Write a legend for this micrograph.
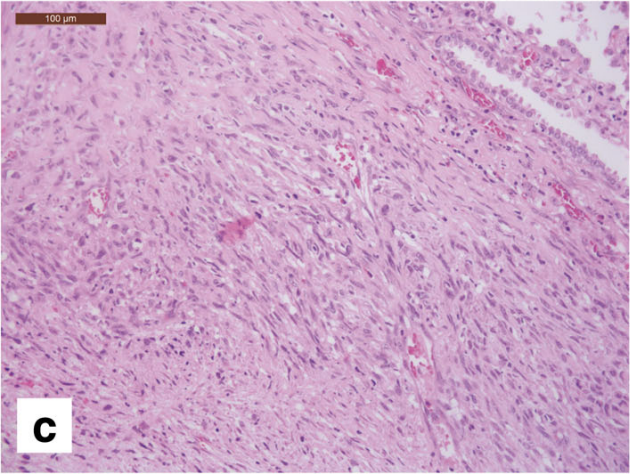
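Densely cellular proliferation of spindle cells arranged in intersecting fascicles. Nuclei are elongated to oval and purple, set in pale pink cytoplasm with indistinct borders. Small thin-walled vessels with red blood cells in their lumina are scattered irregularly among the cells. At the upper right, a space is lined by a single row of small epithelial cells bordering the spindle cells.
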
